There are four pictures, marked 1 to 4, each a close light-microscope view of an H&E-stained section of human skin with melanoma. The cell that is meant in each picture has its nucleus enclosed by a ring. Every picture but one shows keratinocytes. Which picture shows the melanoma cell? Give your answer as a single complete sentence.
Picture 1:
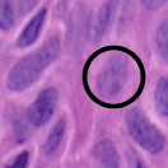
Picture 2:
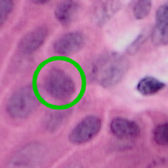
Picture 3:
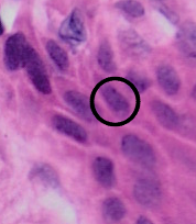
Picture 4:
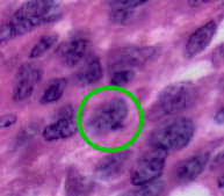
The melanoma cell is the one in picture 4.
